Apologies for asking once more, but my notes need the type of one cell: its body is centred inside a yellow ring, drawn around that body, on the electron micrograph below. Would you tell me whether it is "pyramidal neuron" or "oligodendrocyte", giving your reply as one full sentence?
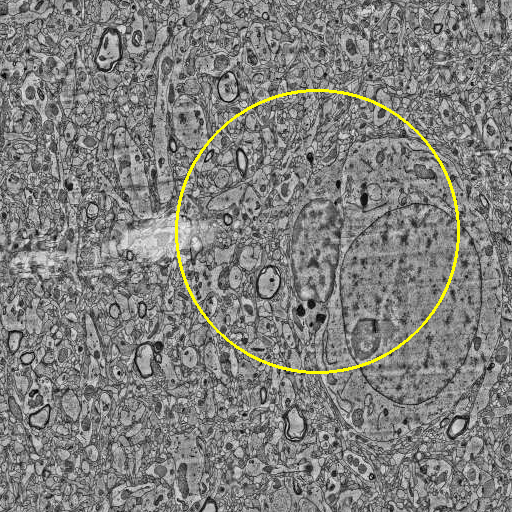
The cell that the yellow ring is centred on is an oligodendrocyte in this micrograph.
